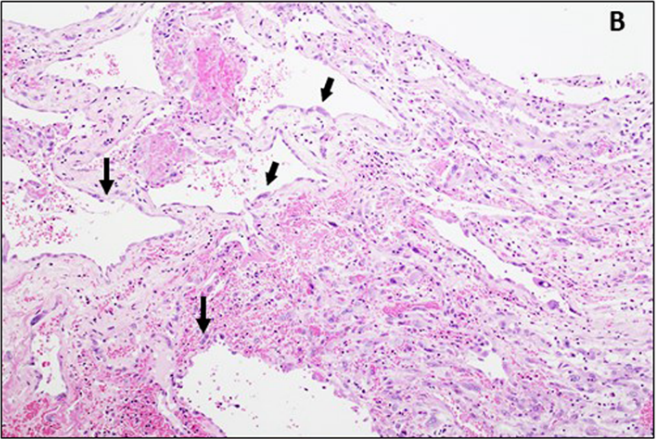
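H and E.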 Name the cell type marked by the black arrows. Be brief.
Vascular endothelial cells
